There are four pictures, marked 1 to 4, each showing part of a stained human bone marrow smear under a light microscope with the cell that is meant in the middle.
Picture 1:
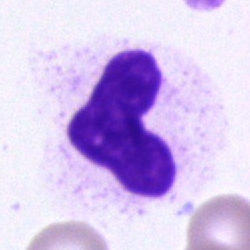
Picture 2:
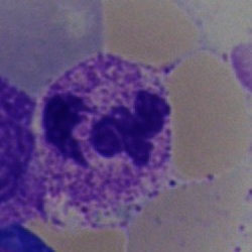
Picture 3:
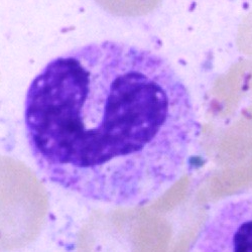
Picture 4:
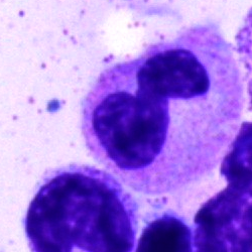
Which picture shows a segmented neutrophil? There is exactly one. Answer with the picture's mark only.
2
